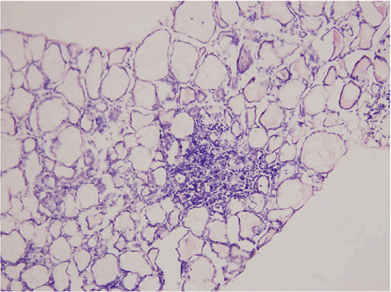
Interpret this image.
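Thyroid tissue shows numerous rounded follicles with pale lumens, lined by a thin layer of cells with small purple nuclei. Near the centre, a compact focus of closely packed, small, dark round nuclei occupies the tissue between follicles.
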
